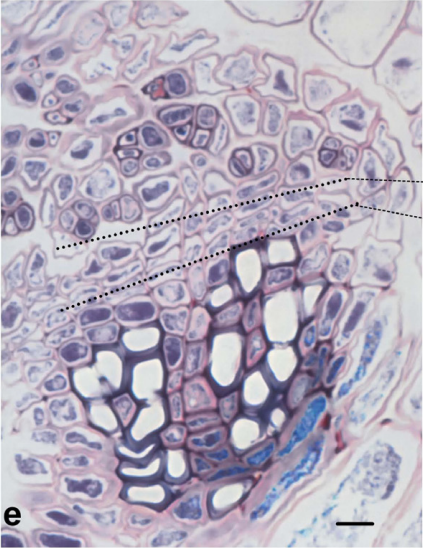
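This cross section of a vascular bundle shows phloem at the top, a narrow band of procambium in the middle, and xylem at the bottom. The xylem consists of large, empty cells with thick dark blue secondary walls, interspersed with smaller cells. The procambium is made of small, flattened, thin-walled cells in tidy rows, while the phloem above holds small clustered cells with purple-blue cytoplasm and pink primary walls. Light blue granular staining fills some elongated cells at the lower edge of the xylem.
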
